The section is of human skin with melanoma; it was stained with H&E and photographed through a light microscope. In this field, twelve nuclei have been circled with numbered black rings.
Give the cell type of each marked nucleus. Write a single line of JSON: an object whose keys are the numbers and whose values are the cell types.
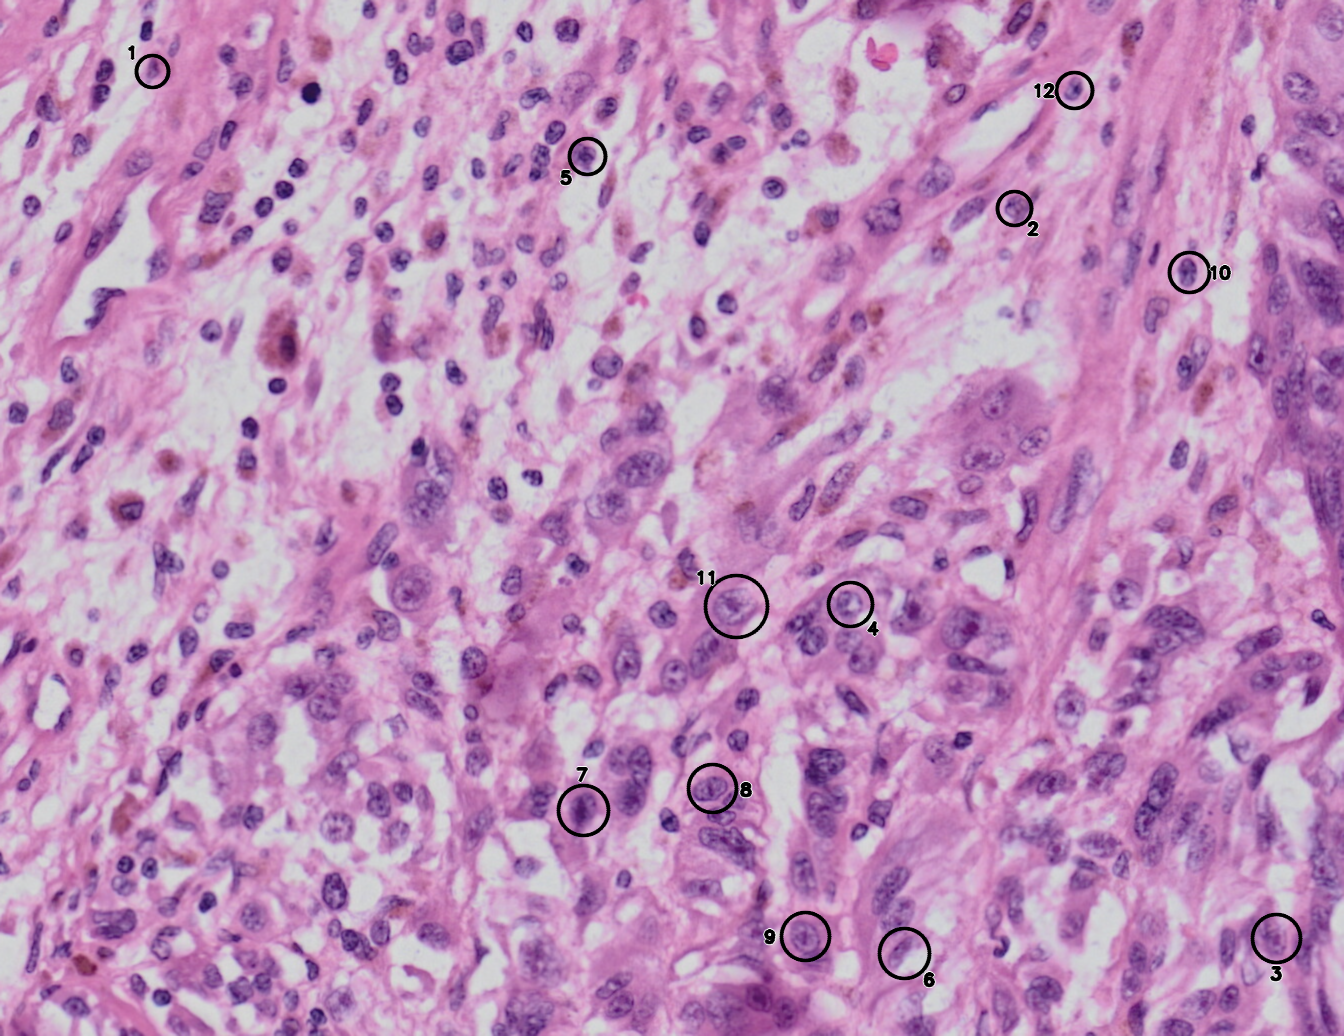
{"1": "macrophage or monocyte", "2": "macrophage or monocyte", "3": "melanoma cell", "4": "melanoma cell", "5": "macrophage or monocyte", "6": "melanoma cell", "7": "melanoma cell", "8": "melanoma cell", "9": "melanoma cell", "10": "lymphocyte", "11": "melanoma cell", "12": "lymphocyte"}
